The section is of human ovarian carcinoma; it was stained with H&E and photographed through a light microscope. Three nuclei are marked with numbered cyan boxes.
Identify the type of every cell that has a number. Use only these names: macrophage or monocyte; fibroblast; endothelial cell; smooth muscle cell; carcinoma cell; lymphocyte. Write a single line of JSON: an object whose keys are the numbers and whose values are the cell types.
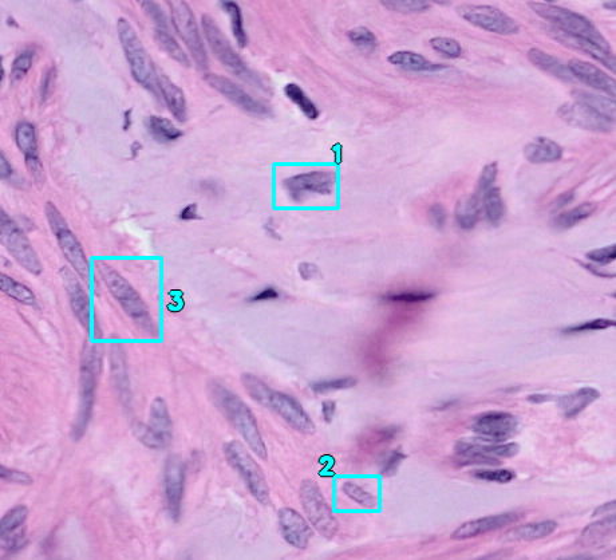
{"1": "fibroblast", "2": "smooth muscle cell", "3": "smooth muscle cell"}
